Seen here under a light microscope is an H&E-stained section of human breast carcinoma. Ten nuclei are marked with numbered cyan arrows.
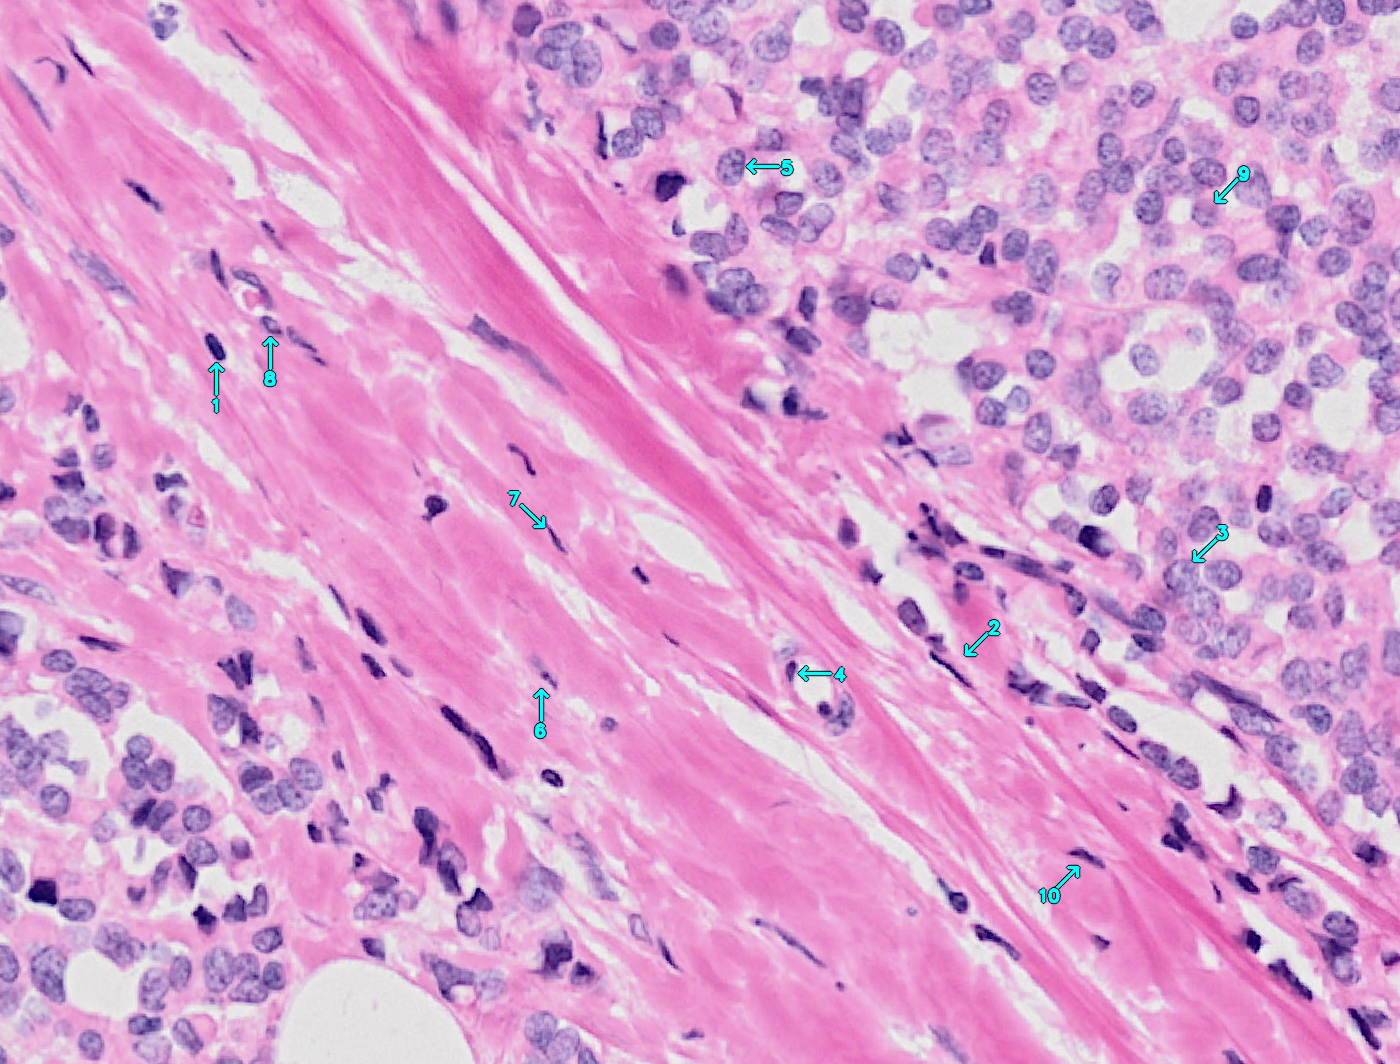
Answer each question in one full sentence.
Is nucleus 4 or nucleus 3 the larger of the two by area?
It is nucleus 3, which covers about 4 times the area of nucleus 4.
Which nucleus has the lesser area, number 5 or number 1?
With nucleus 5 about 2 times its size, nucleus 1 is the smaller of the two.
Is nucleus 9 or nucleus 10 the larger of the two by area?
Nucleus 9 is larger, with an area about 2 times that of nucleus 10.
